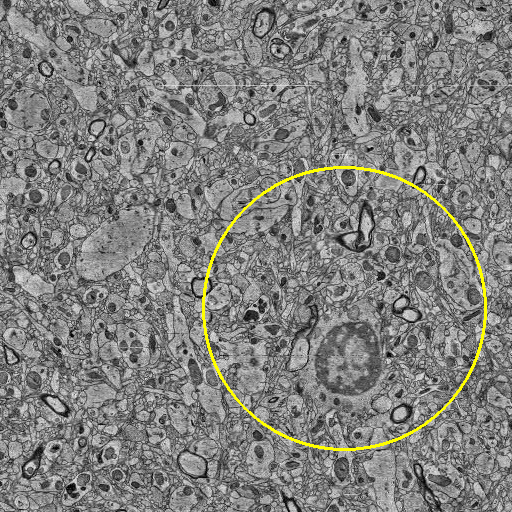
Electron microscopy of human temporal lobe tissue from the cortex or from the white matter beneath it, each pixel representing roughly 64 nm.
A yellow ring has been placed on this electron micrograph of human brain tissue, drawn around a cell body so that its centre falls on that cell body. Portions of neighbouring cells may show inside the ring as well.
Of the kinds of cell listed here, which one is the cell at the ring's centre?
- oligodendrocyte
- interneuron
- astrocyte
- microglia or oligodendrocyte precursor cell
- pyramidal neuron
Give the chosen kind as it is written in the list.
oligodendrocyte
